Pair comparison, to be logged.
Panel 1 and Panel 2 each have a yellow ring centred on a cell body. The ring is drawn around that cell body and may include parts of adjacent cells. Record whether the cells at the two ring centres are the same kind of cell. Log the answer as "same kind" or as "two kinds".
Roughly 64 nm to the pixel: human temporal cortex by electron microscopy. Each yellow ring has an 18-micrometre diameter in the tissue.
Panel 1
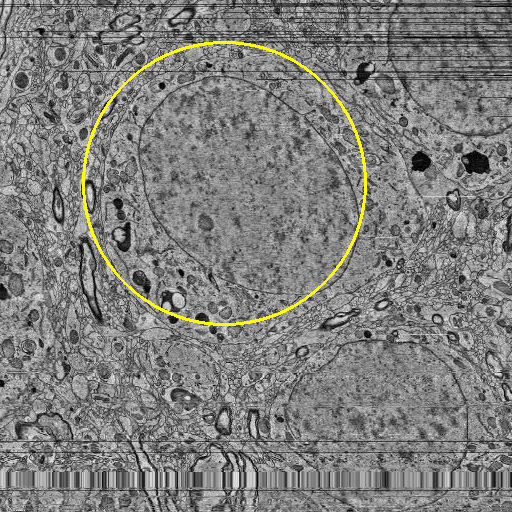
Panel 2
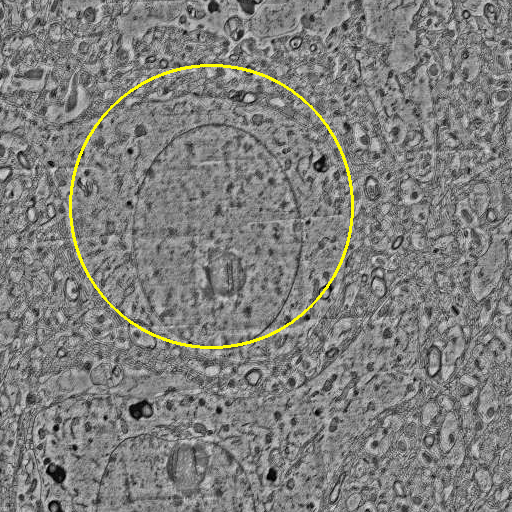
same kind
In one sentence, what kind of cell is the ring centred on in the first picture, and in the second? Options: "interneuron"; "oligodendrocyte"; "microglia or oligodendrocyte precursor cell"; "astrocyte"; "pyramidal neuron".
In each of the two pictures, the ringed cell is a pyramidal neuron.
